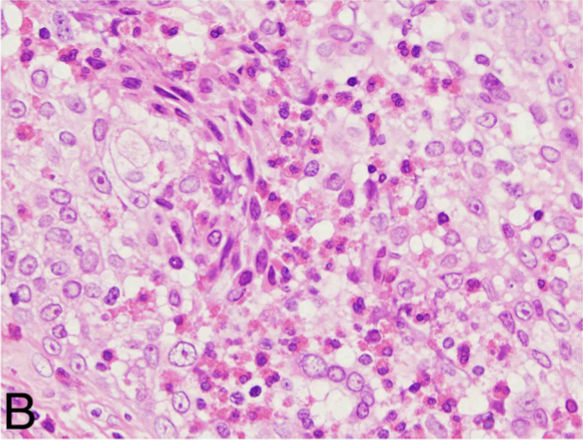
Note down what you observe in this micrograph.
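This high-power view shows tumor cells mixed with a dense infiltrate of eosinophils. The tumor cells are large, with round to oval pale vesicular nuclei, fine chromatin, visible nucleoli and pale to clear, vacuolated cytoplasm. Scattered thickly among them are smaller cells with bright red-orange granular cytoplasm and small, dark, often lobed nuclei, typical of eosinophils. A few elongated spindle-shaped stromal cells with slender dark nuclei run through the middle of the field.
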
